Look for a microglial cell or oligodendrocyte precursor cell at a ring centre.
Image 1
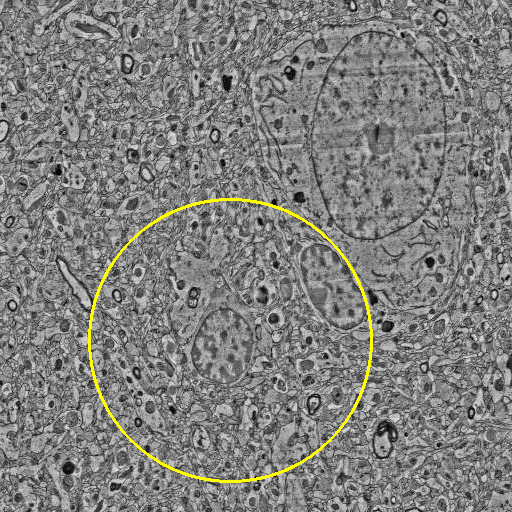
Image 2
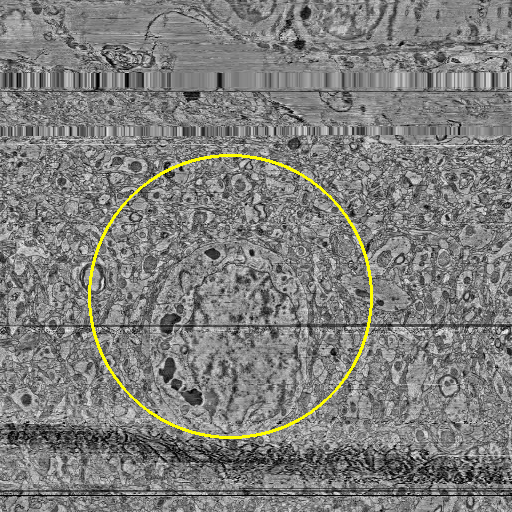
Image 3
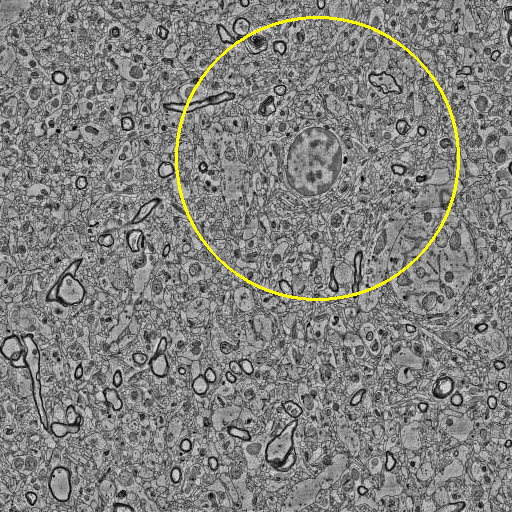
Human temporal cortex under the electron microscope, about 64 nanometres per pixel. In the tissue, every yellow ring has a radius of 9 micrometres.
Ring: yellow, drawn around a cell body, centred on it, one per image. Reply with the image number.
3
